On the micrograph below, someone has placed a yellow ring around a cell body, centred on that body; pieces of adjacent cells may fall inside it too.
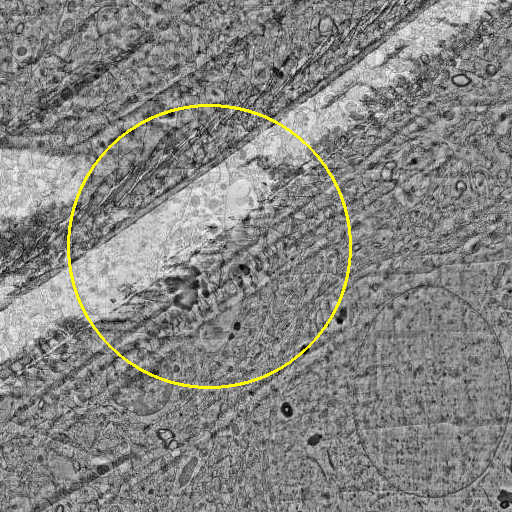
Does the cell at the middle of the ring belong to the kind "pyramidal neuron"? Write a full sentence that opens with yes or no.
No, the micrograph shows another kind of cell at the ring's centre.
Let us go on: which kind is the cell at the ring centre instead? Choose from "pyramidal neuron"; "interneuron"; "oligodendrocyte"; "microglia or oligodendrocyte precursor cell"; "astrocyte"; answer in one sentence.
So the cell at the centre is a microglial cell or oligodendrocyte precursor cell.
